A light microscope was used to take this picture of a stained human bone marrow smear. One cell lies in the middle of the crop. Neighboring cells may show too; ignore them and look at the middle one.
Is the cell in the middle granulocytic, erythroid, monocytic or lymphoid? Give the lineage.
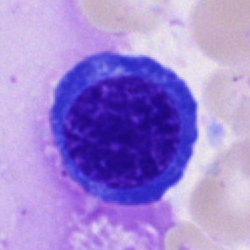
erythroid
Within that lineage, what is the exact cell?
erythroblast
